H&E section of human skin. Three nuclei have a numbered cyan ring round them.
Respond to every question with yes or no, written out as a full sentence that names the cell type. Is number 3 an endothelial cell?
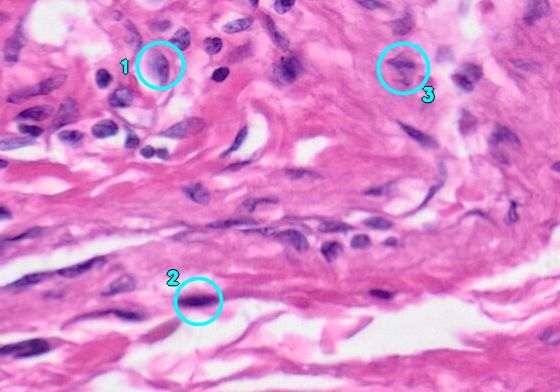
Yes, the cell at the mark numbered 3 is an endothelial cell.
